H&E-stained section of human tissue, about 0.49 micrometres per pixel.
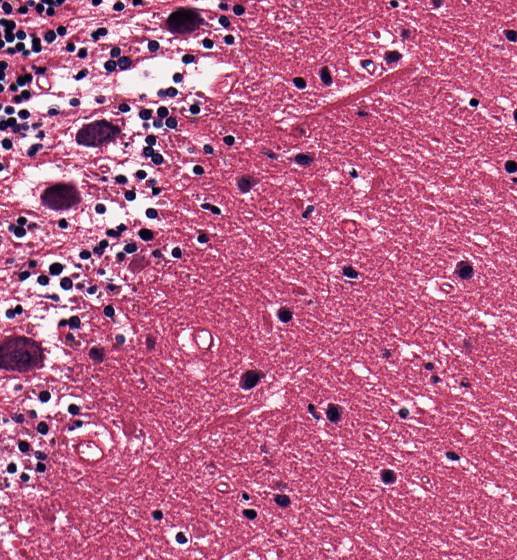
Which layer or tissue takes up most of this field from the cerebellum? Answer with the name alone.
molecular layer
